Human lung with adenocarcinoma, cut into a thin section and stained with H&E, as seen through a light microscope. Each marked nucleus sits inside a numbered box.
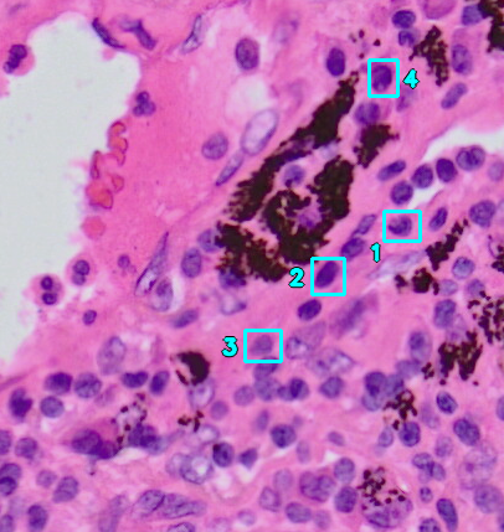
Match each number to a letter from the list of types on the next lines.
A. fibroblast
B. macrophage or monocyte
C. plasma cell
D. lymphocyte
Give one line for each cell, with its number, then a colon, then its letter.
1: D
2: D
3: D
4: C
